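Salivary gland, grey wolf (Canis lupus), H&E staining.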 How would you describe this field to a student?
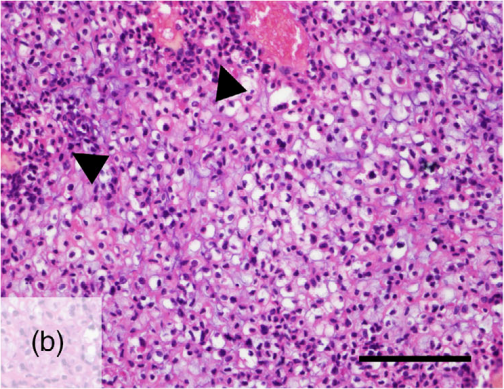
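Sheet of tumour cells, mostly clear cells with variably sized pale, empty-looking cytoplasm and small dark, hyperchromatic nuclei. Cell borders are fine pink lines. Toward the left and top, cells with dark nuclei are more densely packed, and vessels filled with red blood cells lie at the top.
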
